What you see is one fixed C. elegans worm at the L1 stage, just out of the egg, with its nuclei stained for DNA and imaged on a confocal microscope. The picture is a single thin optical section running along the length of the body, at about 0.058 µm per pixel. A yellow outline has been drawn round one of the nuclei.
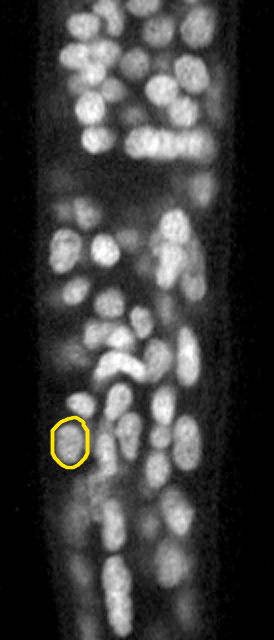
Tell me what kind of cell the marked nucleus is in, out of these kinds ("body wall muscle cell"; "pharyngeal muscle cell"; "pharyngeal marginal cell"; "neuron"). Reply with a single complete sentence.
It is the nucleus of a body wall muscle cell.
